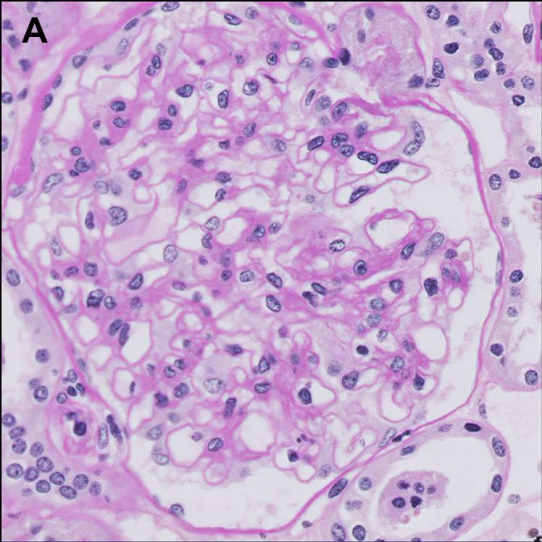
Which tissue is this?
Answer: Glomeruli.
